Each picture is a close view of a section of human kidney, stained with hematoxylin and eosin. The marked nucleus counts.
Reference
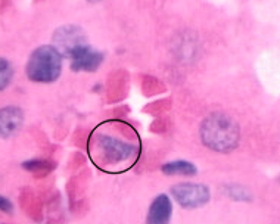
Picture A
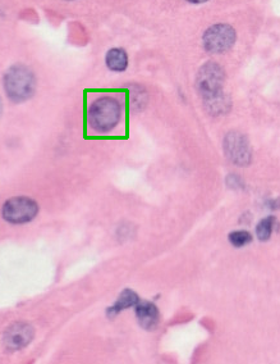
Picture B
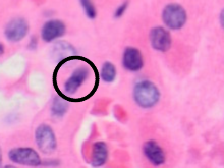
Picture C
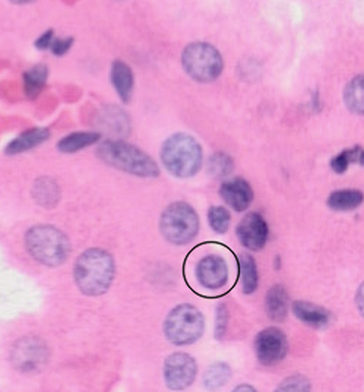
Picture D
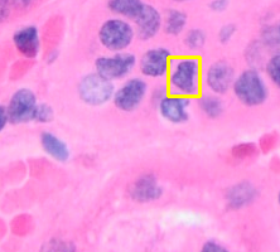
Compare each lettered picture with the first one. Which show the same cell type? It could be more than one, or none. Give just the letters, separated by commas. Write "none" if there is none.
none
